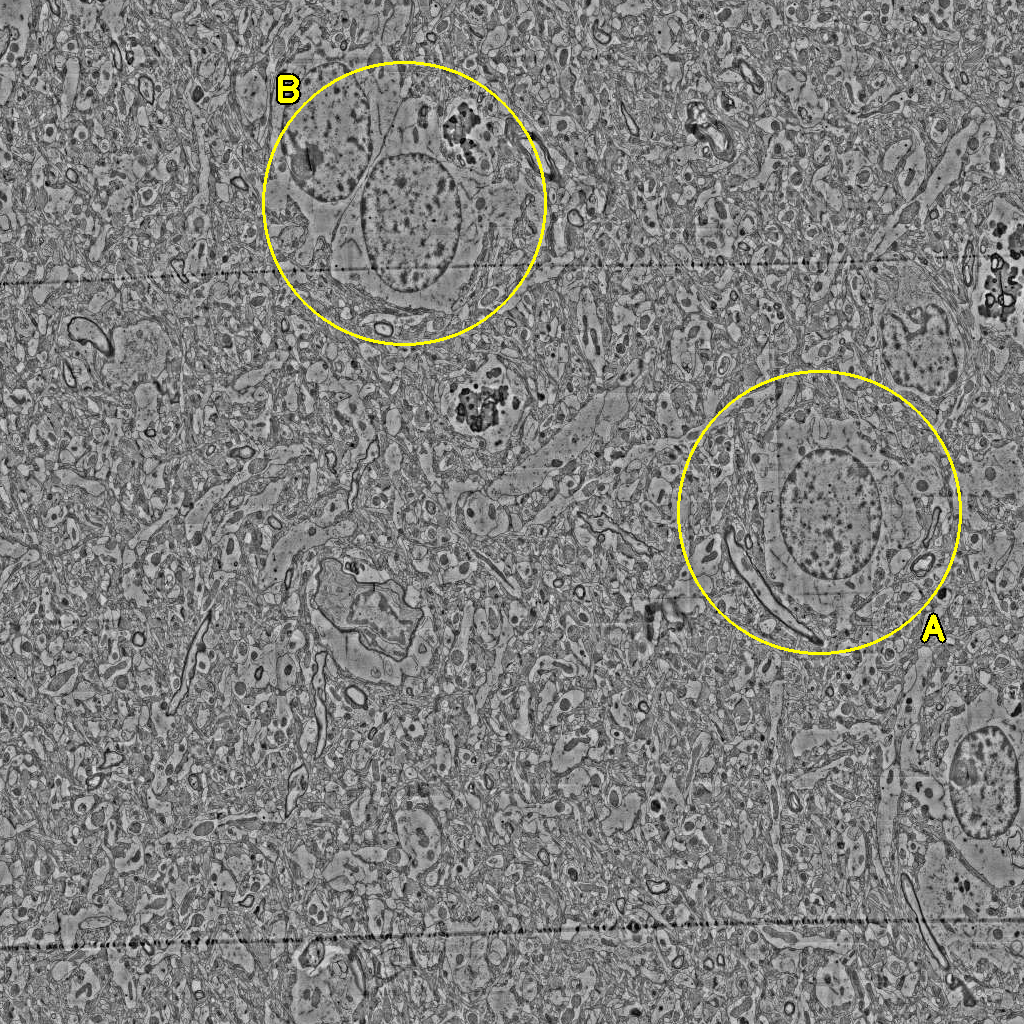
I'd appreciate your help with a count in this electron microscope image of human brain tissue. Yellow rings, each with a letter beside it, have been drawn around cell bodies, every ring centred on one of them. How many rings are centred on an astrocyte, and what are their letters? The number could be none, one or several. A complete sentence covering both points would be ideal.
Identified by the letters A and B, two rings are each centred on an astrocyte.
